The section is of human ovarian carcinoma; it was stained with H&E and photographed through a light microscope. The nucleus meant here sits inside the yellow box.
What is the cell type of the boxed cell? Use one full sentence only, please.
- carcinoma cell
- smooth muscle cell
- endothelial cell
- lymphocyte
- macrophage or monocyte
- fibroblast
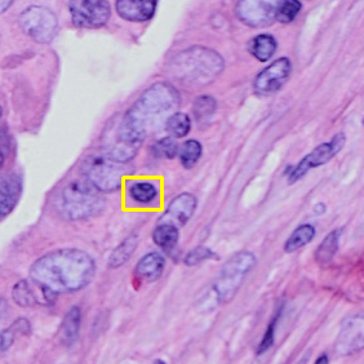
In this tissue sample, the boxed cell is a lymphocyte.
